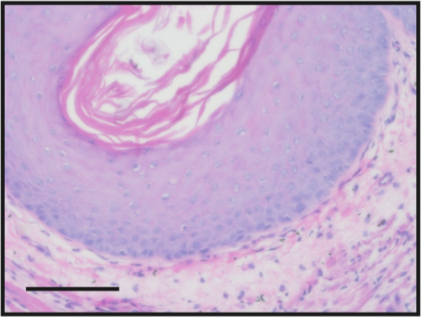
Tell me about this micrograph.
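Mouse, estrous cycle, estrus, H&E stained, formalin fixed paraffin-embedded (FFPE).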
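This section of vaginal wall shows a very thick stratified squamous epithelium stained blue-purple, resting on pink connective tissue below. Toward the lumen the cells flatten and give way to layered, wavy pink lamellae of cornified cells. The epithelium forms a broad curved fold around this keratin-filled lumen.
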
